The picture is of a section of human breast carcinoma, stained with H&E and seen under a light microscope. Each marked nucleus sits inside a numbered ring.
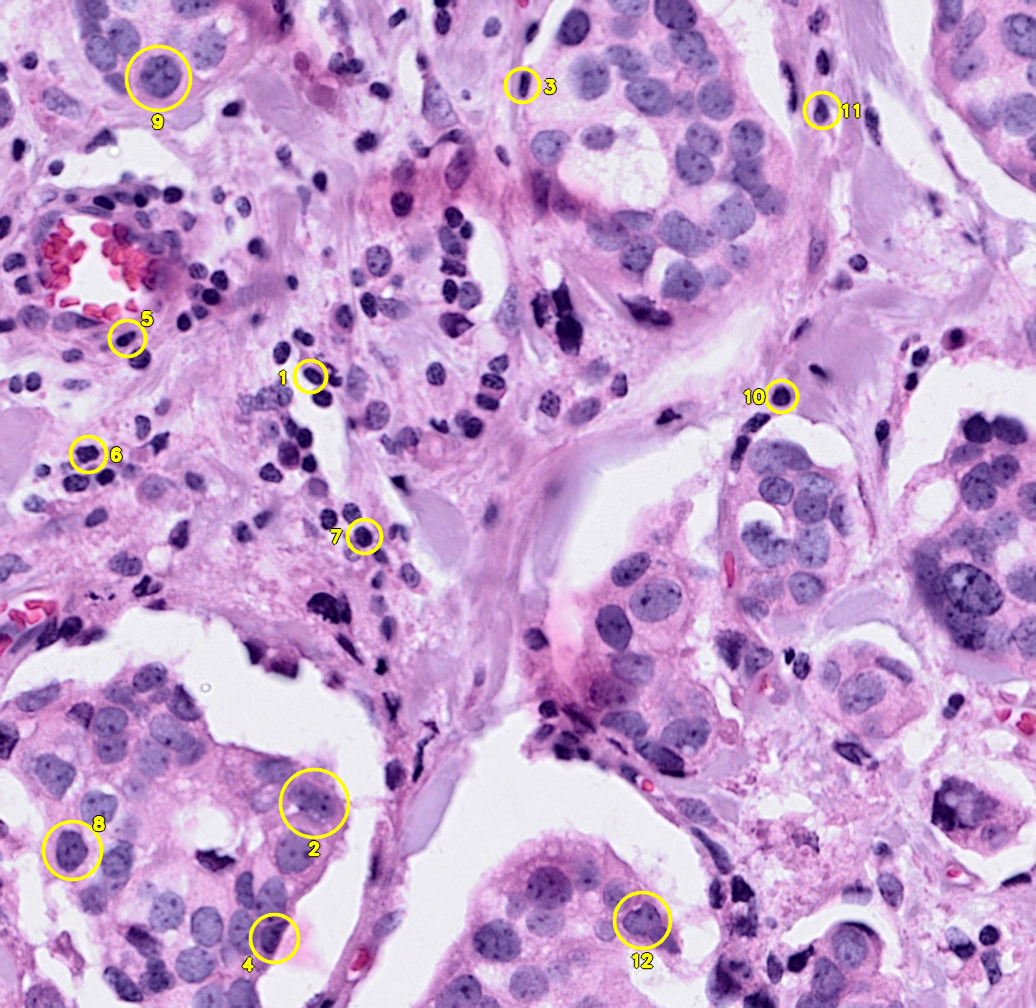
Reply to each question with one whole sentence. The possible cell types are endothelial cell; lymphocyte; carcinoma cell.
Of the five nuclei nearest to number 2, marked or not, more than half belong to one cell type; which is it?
Carcinoma cells make up most of the five nuclei closest to number 2.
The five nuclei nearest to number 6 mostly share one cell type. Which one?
Lymphocytes make up most of the five nuclei closest to number 6.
